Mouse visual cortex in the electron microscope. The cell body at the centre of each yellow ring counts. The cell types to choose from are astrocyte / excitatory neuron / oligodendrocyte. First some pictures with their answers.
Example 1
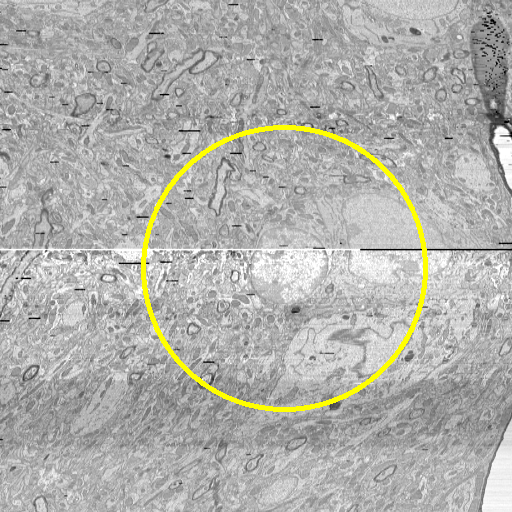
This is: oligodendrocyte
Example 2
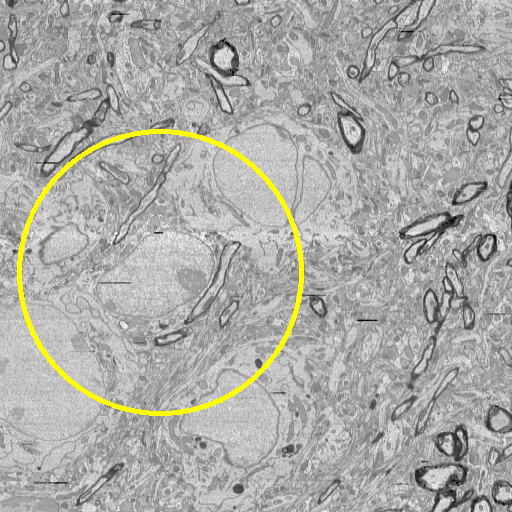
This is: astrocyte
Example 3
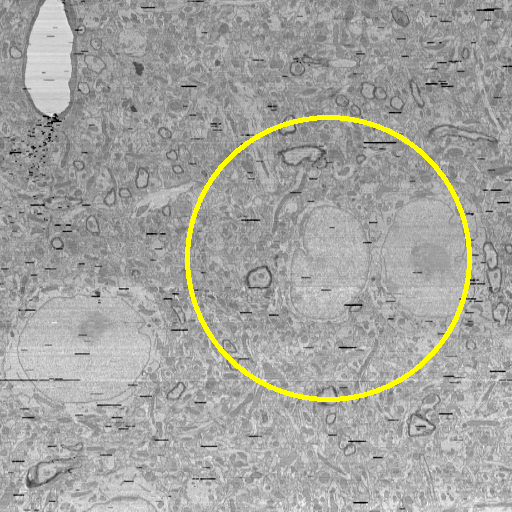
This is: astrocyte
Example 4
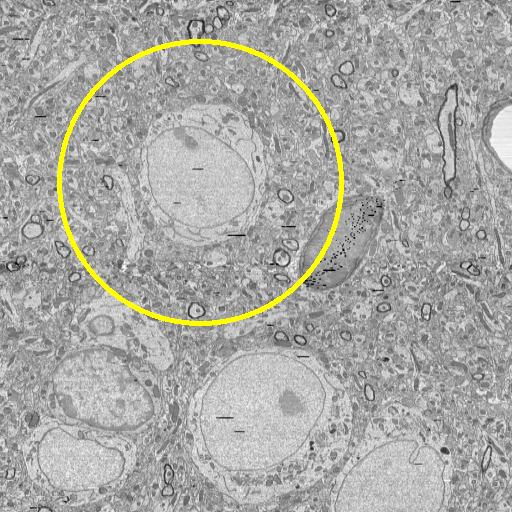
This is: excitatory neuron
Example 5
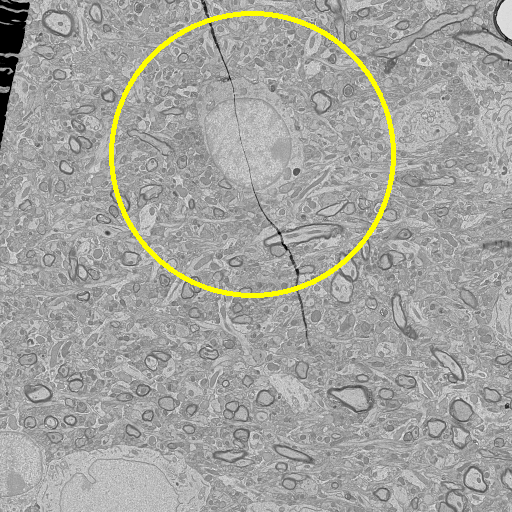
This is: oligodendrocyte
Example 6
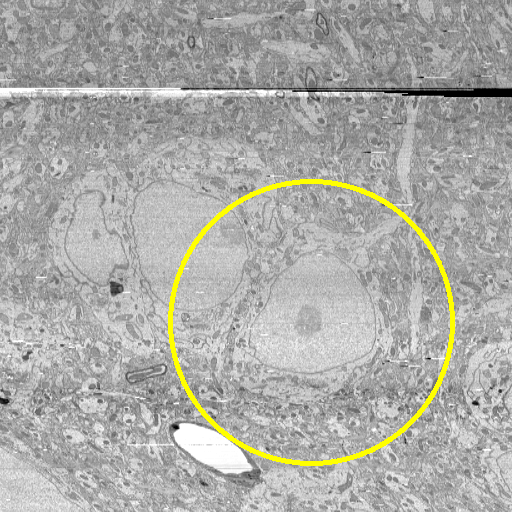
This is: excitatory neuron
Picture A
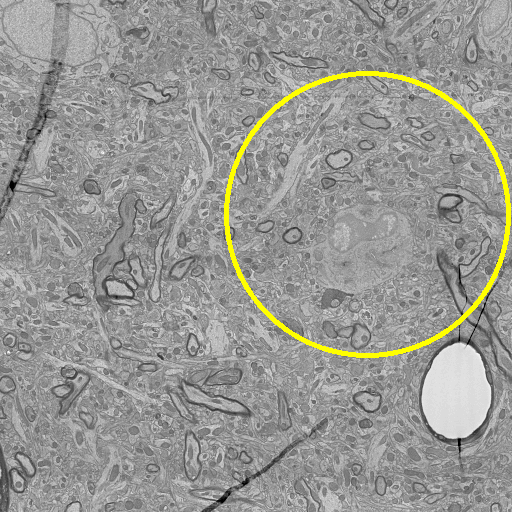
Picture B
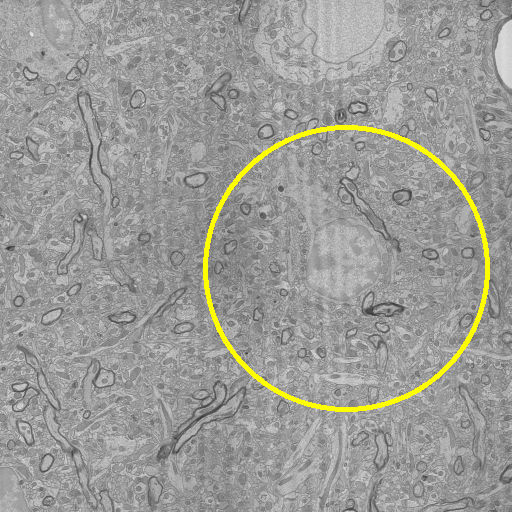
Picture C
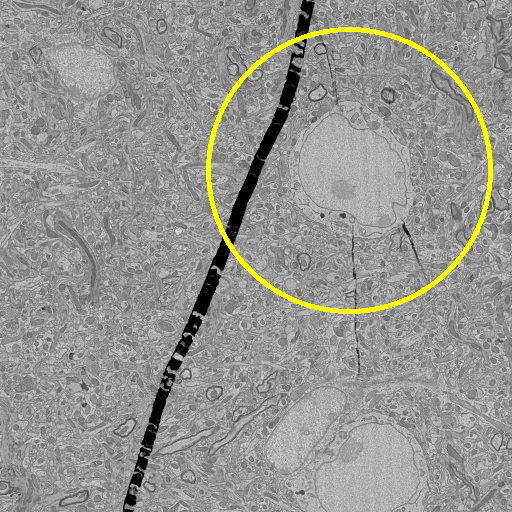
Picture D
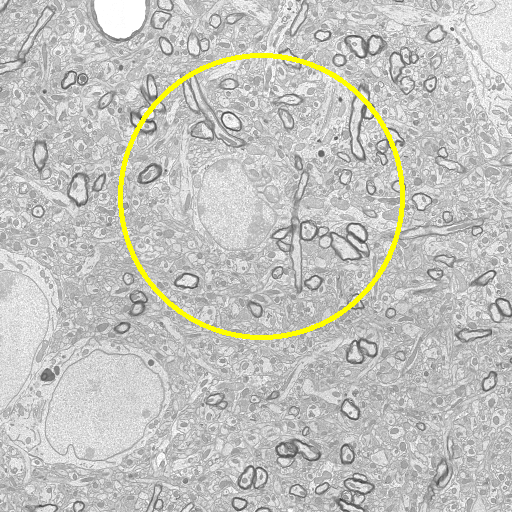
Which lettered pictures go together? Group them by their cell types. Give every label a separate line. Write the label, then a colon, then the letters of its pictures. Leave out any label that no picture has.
astrocyte: D
excitatory neuron: C
oligodendrocyte: A, B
